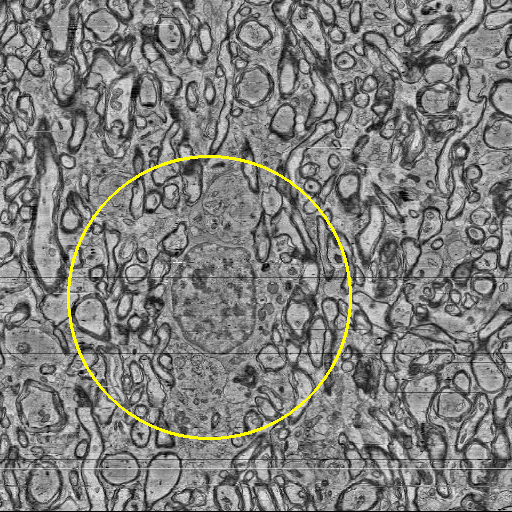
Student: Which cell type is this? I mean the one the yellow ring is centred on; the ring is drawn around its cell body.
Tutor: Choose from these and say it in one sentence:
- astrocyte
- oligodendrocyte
The cell the ring is centred on is an oligodendrocyte.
